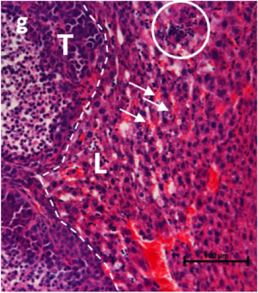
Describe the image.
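Border between liver tissue and tumour tissue, stained pink and purple. On one side of the dashed line the tumour forms a dense mass of small cells with crowded dark purple nuclei. On the other side liver cells are large and polygonal, with pink cytoplasm and round nuclei, arranged in plates. A small cluster of tiny dark nuclei, an inflammatory infiltrate, lies among the liver cells away from the border.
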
